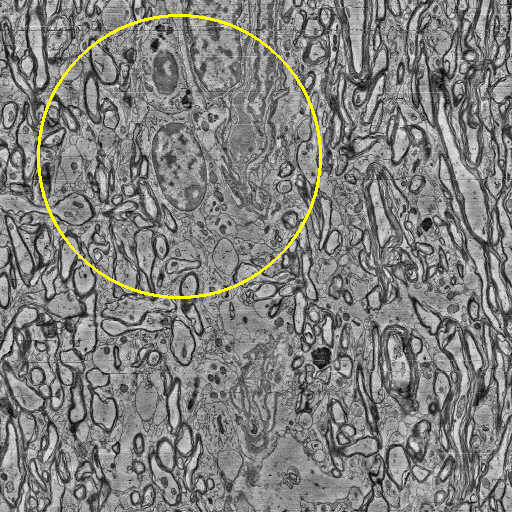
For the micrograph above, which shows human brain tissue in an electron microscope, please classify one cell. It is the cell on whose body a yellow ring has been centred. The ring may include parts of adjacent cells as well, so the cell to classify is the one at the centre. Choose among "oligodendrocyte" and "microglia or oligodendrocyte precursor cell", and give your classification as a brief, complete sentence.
I classify this cell as a microglial cell or oligodendrocyte precursor cell.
